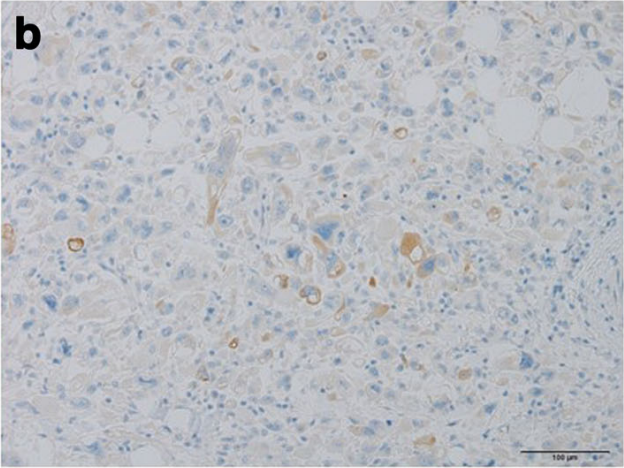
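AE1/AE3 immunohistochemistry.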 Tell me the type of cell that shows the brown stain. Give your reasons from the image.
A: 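Brown staining lies in the cytoplasm of scattered large cells. Most cells in the field are unstained with blue nuclei. The stained cells are large and irregular, among unstained cells of similar appearance.
Hence: tumor cells.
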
